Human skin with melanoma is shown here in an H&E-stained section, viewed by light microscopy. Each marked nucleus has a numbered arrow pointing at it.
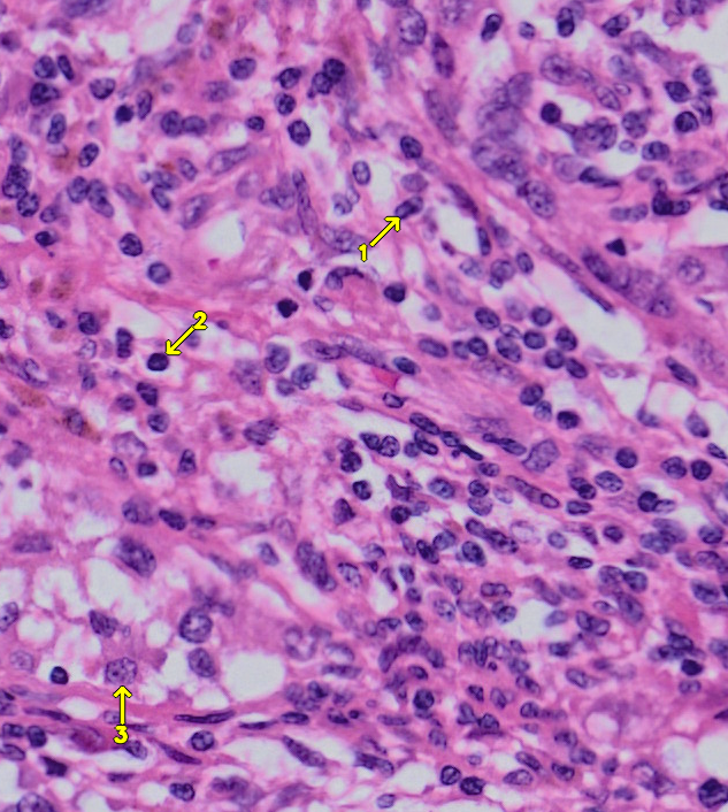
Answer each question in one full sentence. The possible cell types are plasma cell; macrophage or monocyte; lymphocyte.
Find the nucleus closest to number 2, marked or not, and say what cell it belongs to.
The nearest nucleus to number 2 belongs to a plasma cell.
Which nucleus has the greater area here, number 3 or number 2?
The larger nucleus is 3, at roughly 2 times the area of 2.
